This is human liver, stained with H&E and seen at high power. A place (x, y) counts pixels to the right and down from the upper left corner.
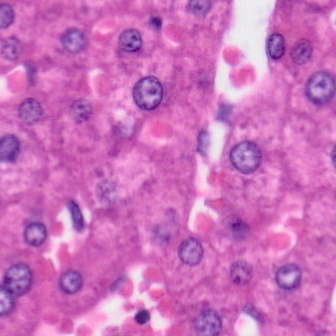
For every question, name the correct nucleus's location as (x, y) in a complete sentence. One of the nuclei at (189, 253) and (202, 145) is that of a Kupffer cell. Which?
Among the two, the nucleus at (202, 145) is the nucleus of a Kupffer cell.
